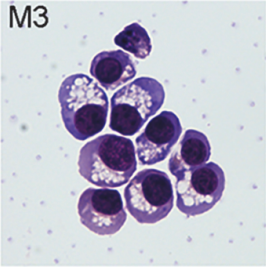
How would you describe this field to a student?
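A cluster of erythroblasts is shown, each with a round, dark purple, condensed nucleus set in a rim of purplish cytoplasm. The cytoplasm of many cells contains numerous small clear vacuoles grouped to one side of the nucleus.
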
